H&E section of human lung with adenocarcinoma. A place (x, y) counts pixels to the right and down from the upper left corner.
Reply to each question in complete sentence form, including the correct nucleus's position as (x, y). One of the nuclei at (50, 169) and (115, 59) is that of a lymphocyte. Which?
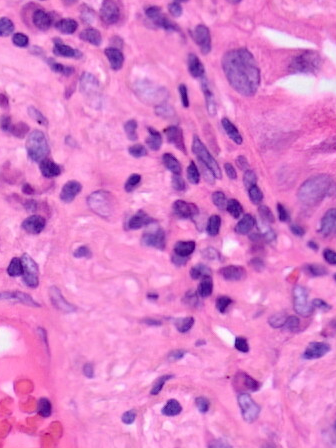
Housed in a lymphocyte is the nucleus at (115, 59), not the other one.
